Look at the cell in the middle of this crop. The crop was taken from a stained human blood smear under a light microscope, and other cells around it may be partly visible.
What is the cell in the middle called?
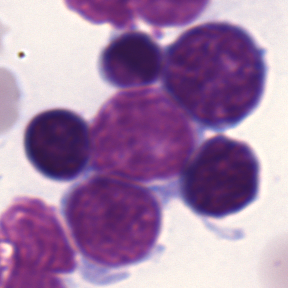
myeloblast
